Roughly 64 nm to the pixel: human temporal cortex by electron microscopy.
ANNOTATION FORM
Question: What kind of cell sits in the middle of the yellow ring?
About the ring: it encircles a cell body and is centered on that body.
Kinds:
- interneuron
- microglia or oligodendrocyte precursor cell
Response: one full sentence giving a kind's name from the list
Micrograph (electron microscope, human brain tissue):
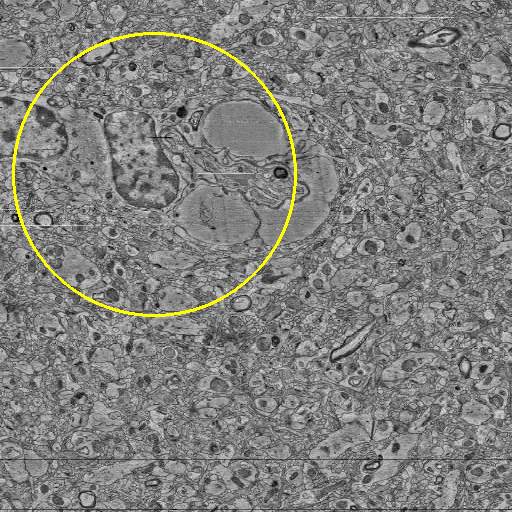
The kind of cell found at the center of the yellow ring in the micrograph is a microglial cell or oligodendrocyte precursor cell.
